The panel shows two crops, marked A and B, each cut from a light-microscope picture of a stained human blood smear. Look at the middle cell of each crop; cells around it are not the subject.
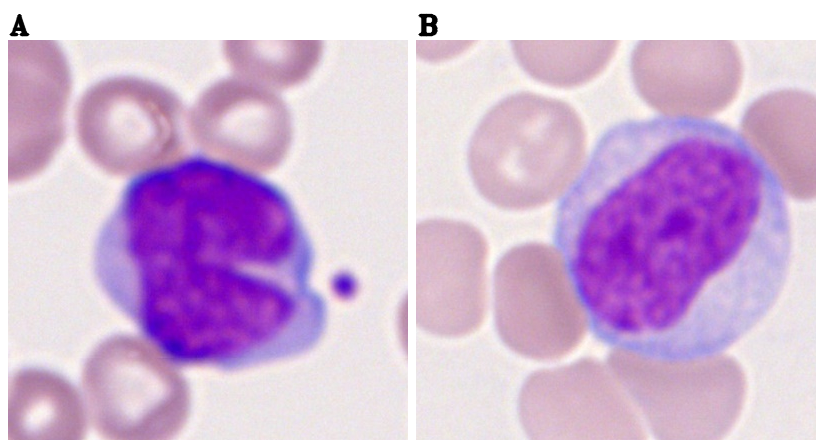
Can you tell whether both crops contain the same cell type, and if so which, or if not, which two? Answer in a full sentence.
Yes, the two crops are alike in showing monocytes.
